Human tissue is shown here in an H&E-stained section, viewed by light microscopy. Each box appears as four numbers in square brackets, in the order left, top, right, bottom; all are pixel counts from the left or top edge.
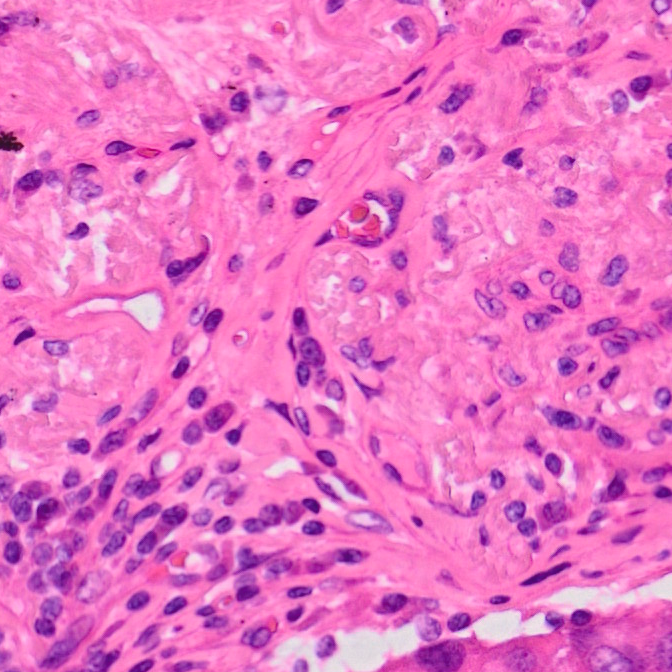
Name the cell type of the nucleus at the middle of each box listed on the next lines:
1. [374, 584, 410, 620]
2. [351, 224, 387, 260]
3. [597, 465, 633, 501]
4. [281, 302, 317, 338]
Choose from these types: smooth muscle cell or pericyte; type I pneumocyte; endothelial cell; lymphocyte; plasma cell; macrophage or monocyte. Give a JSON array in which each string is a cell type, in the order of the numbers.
["plasma cell", "endothelial cell", "plasma cell", "plasma cell"]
